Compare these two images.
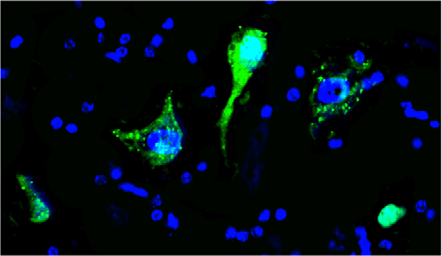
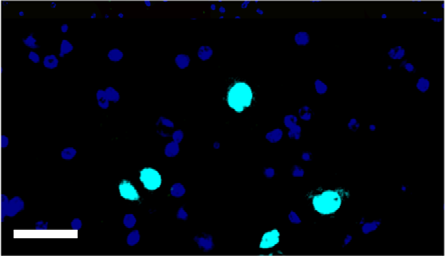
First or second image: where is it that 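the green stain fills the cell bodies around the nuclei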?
The first image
